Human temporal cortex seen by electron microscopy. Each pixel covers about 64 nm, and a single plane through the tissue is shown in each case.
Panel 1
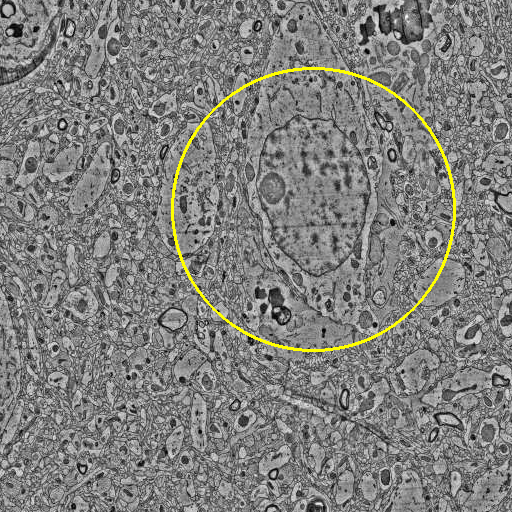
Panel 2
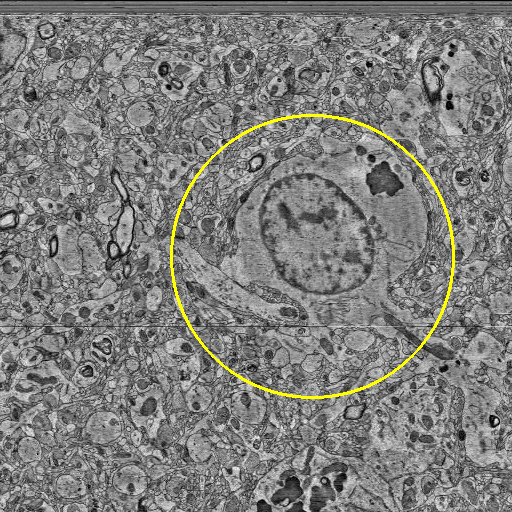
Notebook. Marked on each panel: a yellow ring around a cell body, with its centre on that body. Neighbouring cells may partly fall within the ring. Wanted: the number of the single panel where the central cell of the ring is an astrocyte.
2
